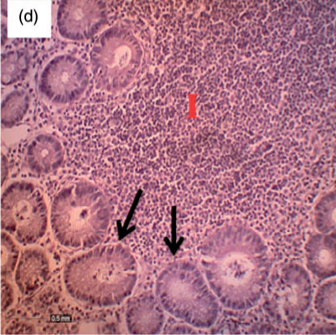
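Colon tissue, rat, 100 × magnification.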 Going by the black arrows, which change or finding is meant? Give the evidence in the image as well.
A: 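Their epithelium is thickened with crowded, elongated dark nuclei. They show few pale goblet cells.
Conclusion: Aberrant crypt foci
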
